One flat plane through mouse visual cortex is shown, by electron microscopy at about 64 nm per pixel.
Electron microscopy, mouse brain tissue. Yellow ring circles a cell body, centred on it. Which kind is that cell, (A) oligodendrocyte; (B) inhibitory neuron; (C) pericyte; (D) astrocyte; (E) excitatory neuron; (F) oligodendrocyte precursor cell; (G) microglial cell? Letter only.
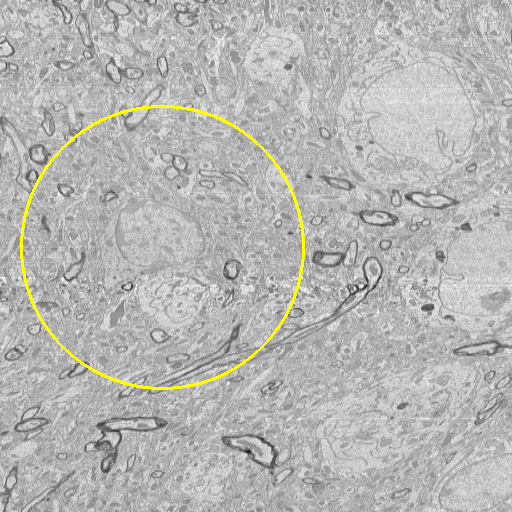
A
